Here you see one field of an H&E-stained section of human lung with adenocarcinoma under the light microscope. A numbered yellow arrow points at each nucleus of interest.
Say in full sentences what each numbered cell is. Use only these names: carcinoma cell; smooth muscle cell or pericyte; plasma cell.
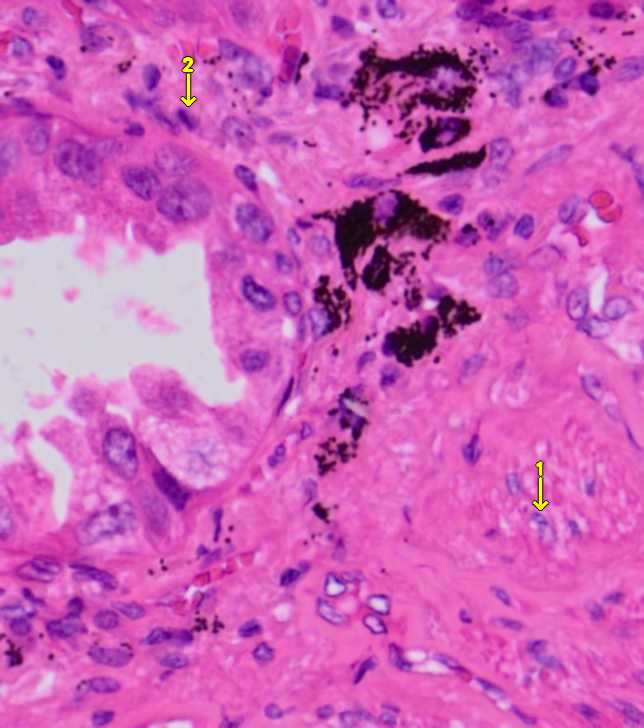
Cell 1 is a smooth muscle cell or pericyte. Cell 2 is a plasma cell.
